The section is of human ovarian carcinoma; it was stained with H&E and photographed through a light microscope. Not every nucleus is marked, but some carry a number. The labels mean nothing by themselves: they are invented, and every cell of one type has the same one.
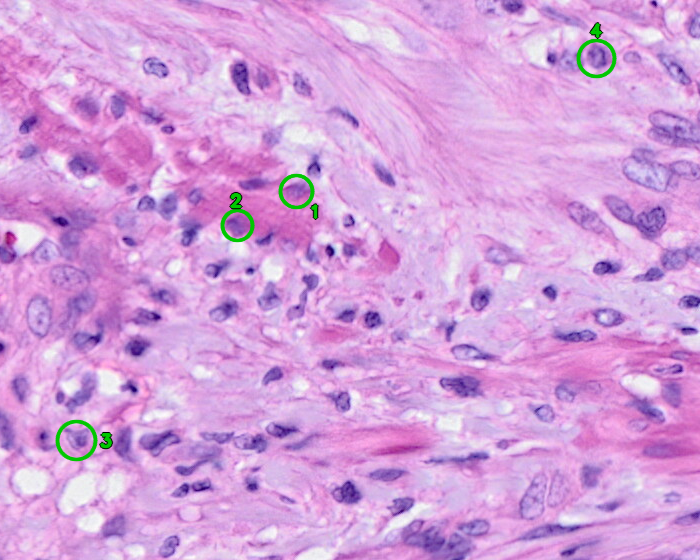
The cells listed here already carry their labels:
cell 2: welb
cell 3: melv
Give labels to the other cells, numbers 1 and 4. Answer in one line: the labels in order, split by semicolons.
welb; melv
